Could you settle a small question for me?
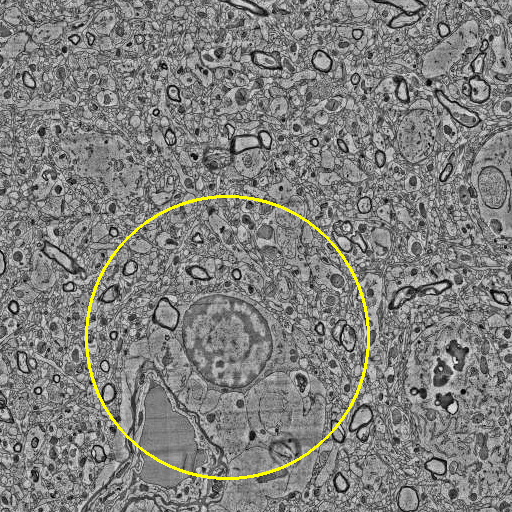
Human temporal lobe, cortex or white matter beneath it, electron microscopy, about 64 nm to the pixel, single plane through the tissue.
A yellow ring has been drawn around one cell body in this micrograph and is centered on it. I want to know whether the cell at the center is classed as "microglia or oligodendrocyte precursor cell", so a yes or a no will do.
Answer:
no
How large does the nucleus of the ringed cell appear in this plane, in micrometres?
The nucleus of the ringed cell is approximately 6 micrometres across in this plane.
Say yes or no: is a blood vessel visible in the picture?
Yes, there is a blood vessel.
